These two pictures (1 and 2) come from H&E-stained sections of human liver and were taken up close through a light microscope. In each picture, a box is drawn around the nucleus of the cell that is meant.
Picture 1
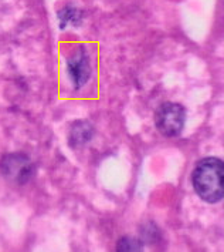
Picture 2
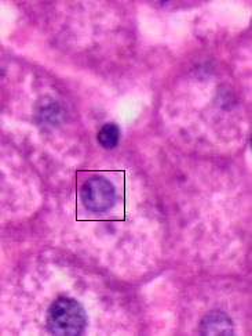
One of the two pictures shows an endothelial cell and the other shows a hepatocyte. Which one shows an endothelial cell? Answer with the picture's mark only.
1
